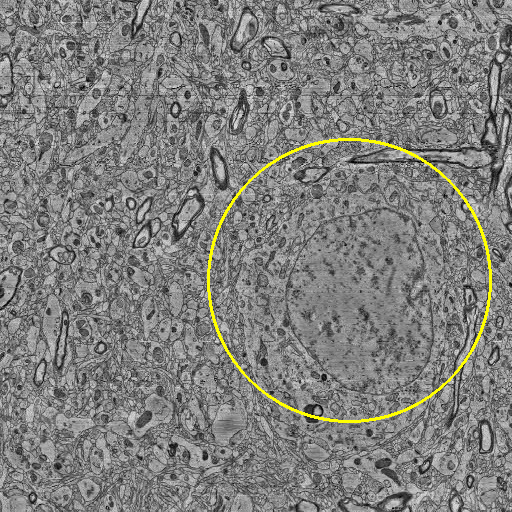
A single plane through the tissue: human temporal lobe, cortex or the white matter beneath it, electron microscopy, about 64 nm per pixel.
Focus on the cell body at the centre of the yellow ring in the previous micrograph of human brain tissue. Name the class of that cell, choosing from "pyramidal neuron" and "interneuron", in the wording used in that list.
interneuron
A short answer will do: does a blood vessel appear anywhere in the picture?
No, none is visible.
